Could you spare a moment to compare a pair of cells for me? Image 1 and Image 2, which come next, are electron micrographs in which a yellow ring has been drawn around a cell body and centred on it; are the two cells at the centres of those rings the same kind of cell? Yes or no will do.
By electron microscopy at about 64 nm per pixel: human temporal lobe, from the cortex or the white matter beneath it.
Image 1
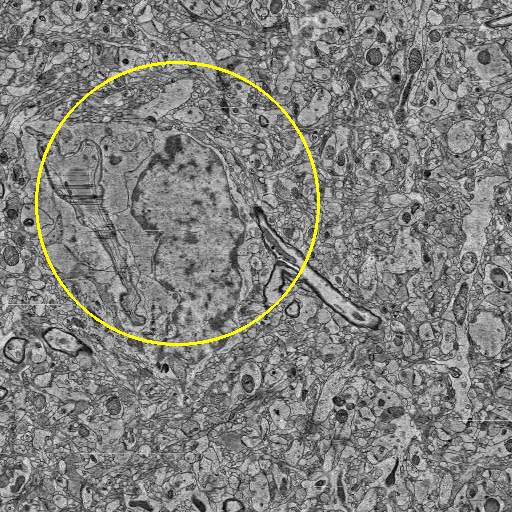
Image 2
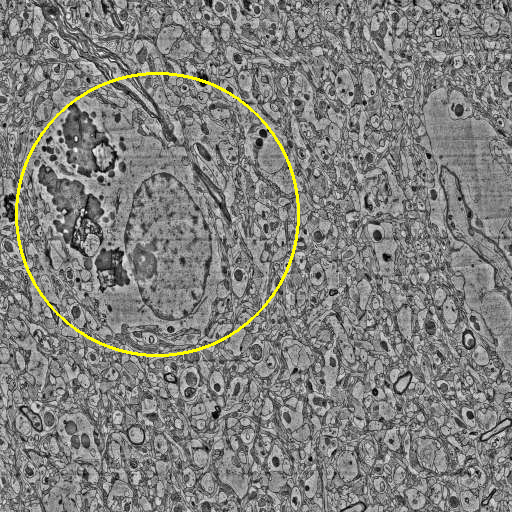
no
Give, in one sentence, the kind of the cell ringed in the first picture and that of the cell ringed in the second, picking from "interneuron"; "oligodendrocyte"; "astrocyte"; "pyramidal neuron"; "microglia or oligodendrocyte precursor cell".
For the first picture it is a microglial cell or oligodendrocyte precursor cell; for the second, an astrocyte.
